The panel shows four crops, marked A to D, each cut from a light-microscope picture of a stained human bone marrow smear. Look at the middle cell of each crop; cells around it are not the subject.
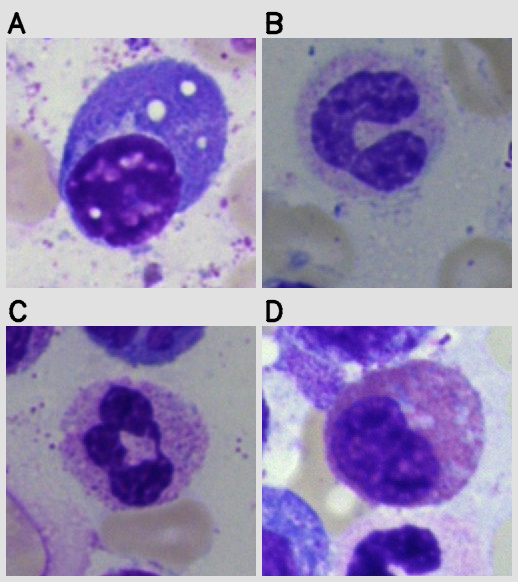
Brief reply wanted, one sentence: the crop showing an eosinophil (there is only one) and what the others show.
In crop D the cell shown is an eosinophil, and crop A is a plasma cell, crop B is a band neutrophil and crop C is a segmented neutrophil.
